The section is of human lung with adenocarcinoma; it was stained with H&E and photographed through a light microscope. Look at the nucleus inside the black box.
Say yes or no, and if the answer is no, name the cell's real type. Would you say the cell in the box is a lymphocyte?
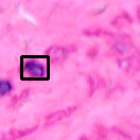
No, it is a smooth muscle cell or pericyte.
